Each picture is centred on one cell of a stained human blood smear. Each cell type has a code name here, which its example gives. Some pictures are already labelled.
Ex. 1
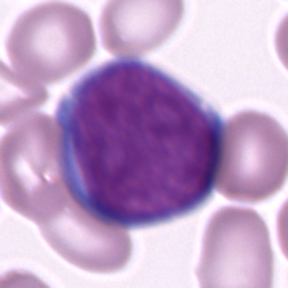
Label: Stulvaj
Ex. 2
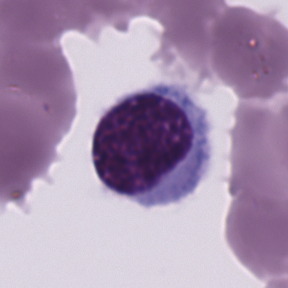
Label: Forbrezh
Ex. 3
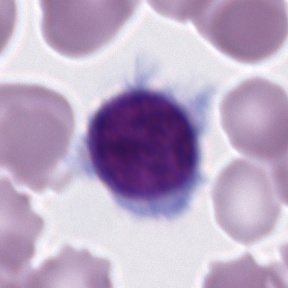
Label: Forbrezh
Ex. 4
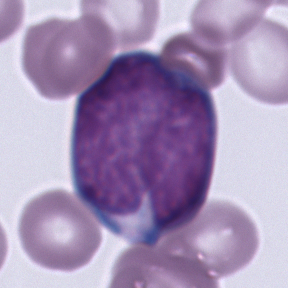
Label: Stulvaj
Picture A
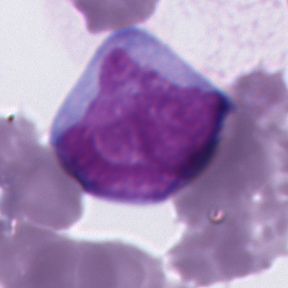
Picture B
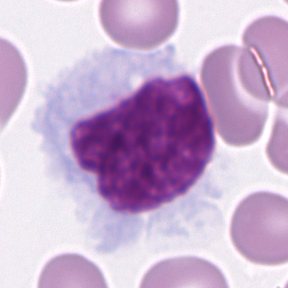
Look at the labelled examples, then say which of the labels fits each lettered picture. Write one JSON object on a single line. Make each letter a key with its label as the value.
{"A": "Stulvaj", "B": "Forbrezh"}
